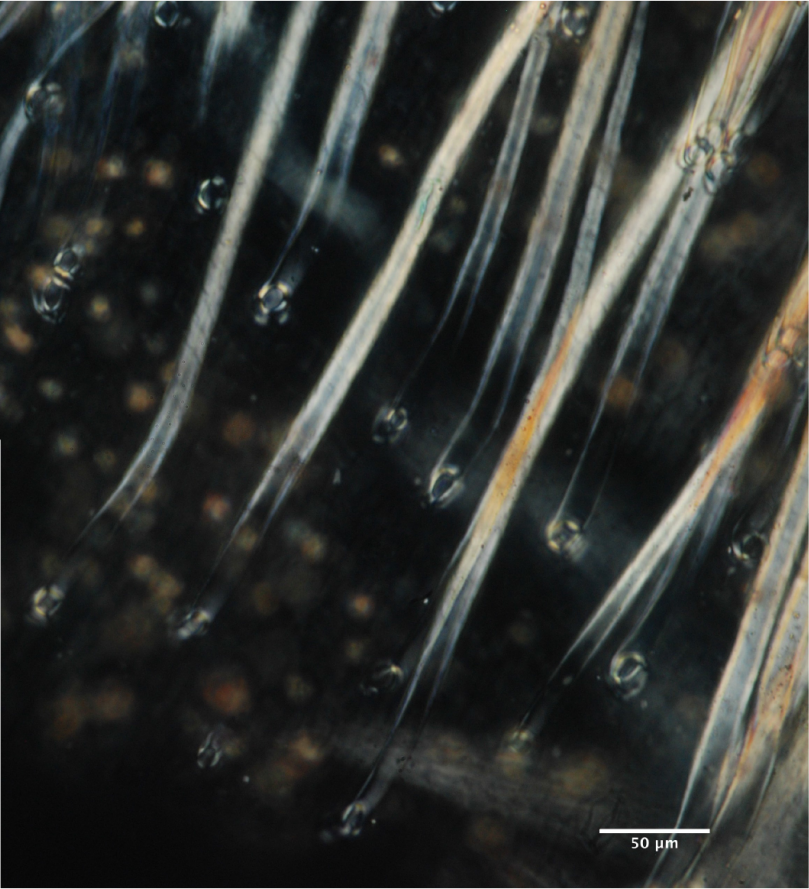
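The hairs taper from a wider part towards thin ends and shine whitish, some with faint yellow to orange tints along their length. Where a hair ends there is a small, rounded, ring-like base that shines bright at its rim. Faint, blurred yellowish-brown round spots lie in the background between them.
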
